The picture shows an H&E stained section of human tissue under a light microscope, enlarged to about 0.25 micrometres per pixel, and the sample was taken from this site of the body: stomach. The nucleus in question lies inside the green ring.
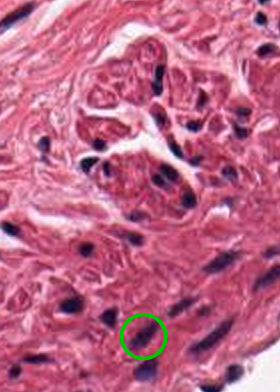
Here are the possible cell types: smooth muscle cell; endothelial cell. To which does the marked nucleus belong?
smooth muscle cell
